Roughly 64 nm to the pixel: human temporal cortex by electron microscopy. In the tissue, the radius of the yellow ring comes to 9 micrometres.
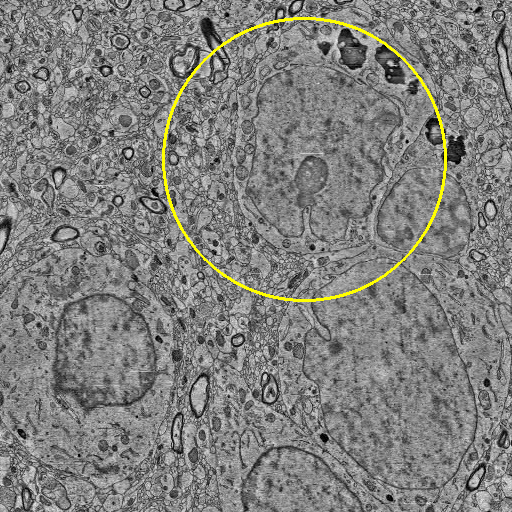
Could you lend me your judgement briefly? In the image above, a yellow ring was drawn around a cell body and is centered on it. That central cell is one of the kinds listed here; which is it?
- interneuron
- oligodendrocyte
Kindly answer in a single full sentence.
Going by the list, an interneuron is the kind at the ring's center in the picture.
